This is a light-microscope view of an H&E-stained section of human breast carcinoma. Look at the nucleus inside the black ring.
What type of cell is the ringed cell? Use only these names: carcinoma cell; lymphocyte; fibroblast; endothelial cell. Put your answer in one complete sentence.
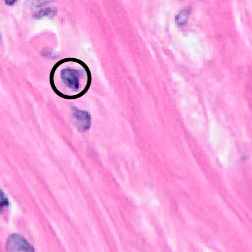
The ringed cell is a lymphocyte.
